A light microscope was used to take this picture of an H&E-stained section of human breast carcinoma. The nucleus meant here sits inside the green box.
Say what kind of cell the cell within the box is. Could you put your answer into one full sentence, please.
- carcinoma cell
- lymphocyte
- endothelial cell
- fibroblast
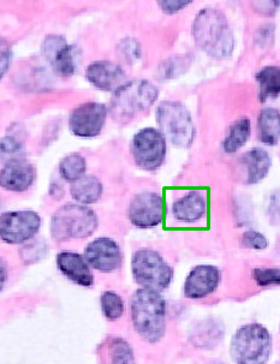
In the context of this tissue, the cell within the box is a carcinoma cell.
